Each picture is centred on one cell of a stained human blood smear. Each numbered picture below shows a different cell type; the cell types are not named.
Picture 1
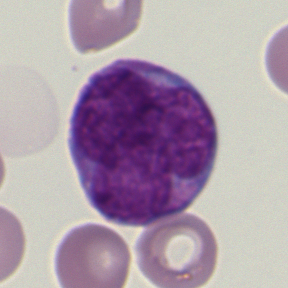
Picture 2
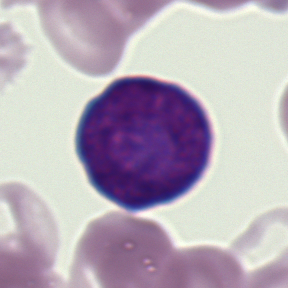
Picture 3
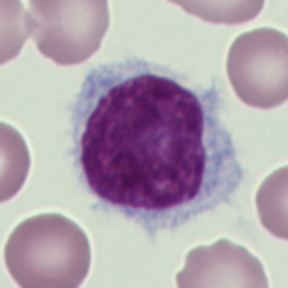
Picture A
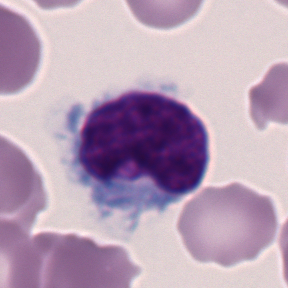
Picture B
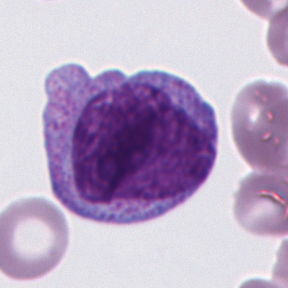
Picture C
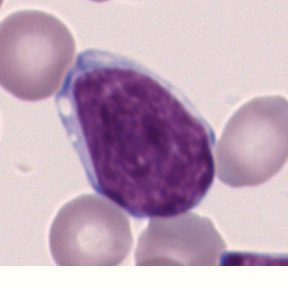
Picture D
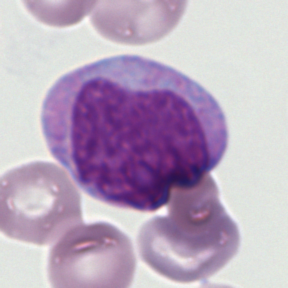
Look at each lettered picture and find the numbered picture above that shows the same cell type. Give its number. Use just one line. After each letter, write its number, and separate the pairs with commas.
A 3, B 1, C 2, D 1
